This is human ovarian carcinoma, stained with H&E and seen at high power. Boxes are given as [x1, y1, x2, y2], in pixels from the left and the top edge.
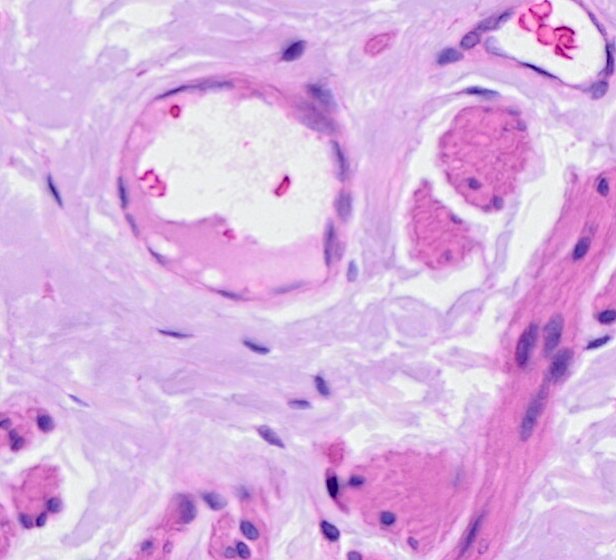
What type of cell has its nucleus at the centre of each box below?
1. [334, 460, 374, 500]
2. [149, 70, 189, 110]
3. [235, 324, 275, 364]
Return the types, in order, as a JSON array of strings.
["smooth muscle cell", "endothelial cell", "fibroblast"]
